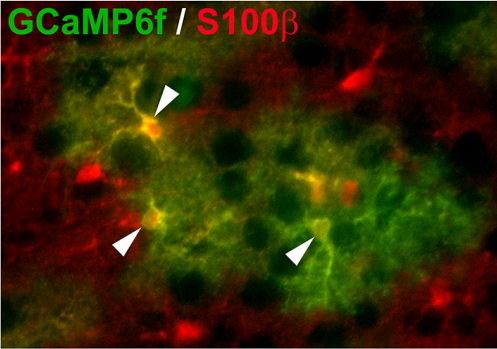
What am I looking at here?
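A few small cell bodies appear yellow where green and red coincide, and from them fine, branching processes radiate into the surroundings. The green label spreads as a diffuse, bushy haze around each of these cells, filling the territory between their branches, so the neighbouring cells together form a patch of green. Other red cell bodies outside this patch stay red alone. Round dark holes, unlabelled, lie scattered through the tissue between the labelled cells; these are the places of other cell bodies that carry neither label.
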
